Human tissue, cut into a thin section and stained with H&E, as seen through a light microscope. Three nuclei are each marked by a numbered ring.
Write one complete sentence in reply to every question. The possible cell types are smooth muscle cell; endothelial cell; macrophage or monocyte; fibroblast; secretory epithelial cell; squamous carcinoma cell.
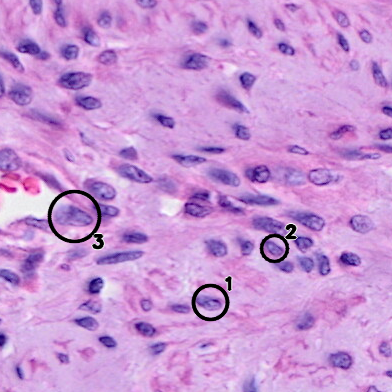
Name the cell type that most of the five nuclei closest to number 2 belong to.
Fibroblasts account for more than half of the five nuclei nearest to number 2.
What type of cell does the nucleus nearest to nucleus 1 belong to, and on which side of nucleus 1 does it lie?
The nearest nucleus is that of a smooth muscle cell and lies to the left of nucleus 1.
